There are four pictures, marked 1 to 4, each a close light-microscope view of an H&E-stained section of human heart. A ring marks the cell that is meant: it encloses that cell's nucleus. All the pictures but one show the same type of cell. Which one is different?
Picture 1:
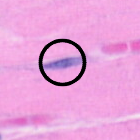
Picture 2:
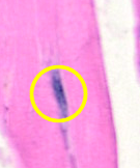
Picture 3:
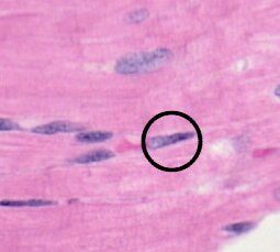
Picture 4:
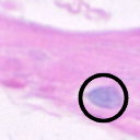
4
